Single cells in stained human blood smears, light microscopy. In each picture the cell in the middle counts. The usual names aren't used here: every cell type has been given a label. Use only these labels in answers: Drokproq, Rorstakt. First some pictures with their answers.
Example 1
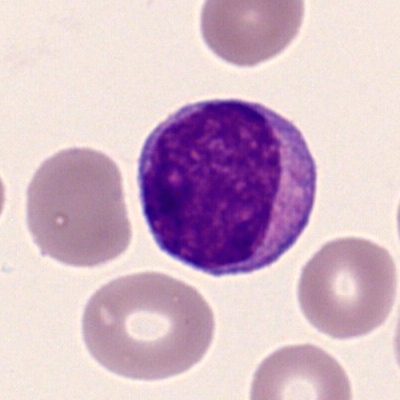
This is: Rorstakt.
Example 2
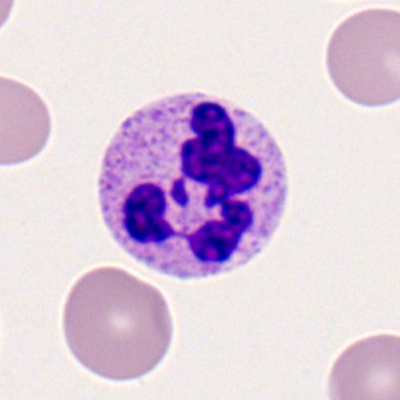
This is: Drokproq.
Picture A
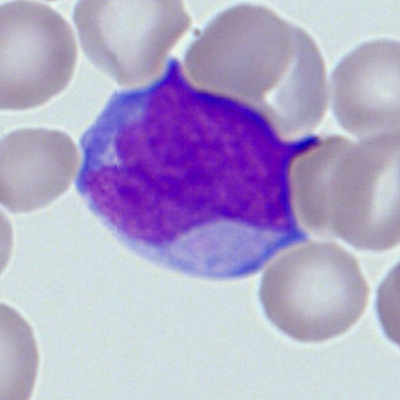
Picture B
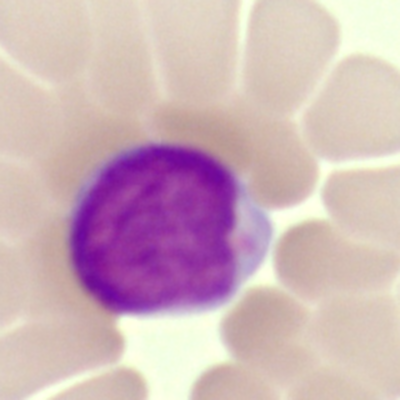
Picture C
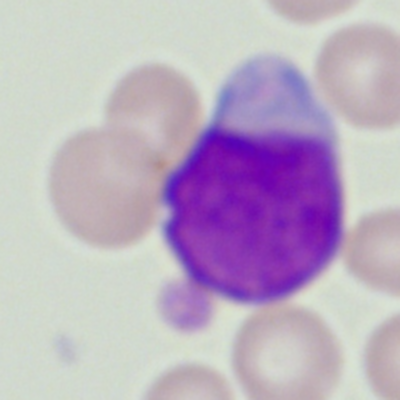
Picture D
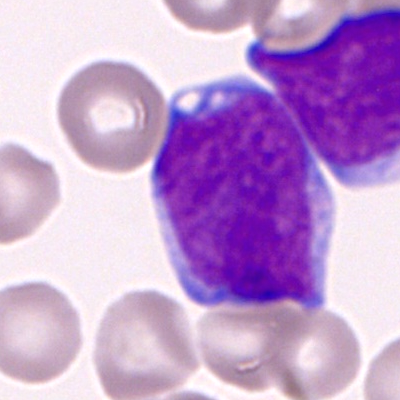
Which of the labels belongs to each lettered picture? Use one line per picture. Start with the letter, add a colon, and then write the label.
A: Rorstakt.
B: Rorstakt.
C: Rorstakt.
D: Rorstakt.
